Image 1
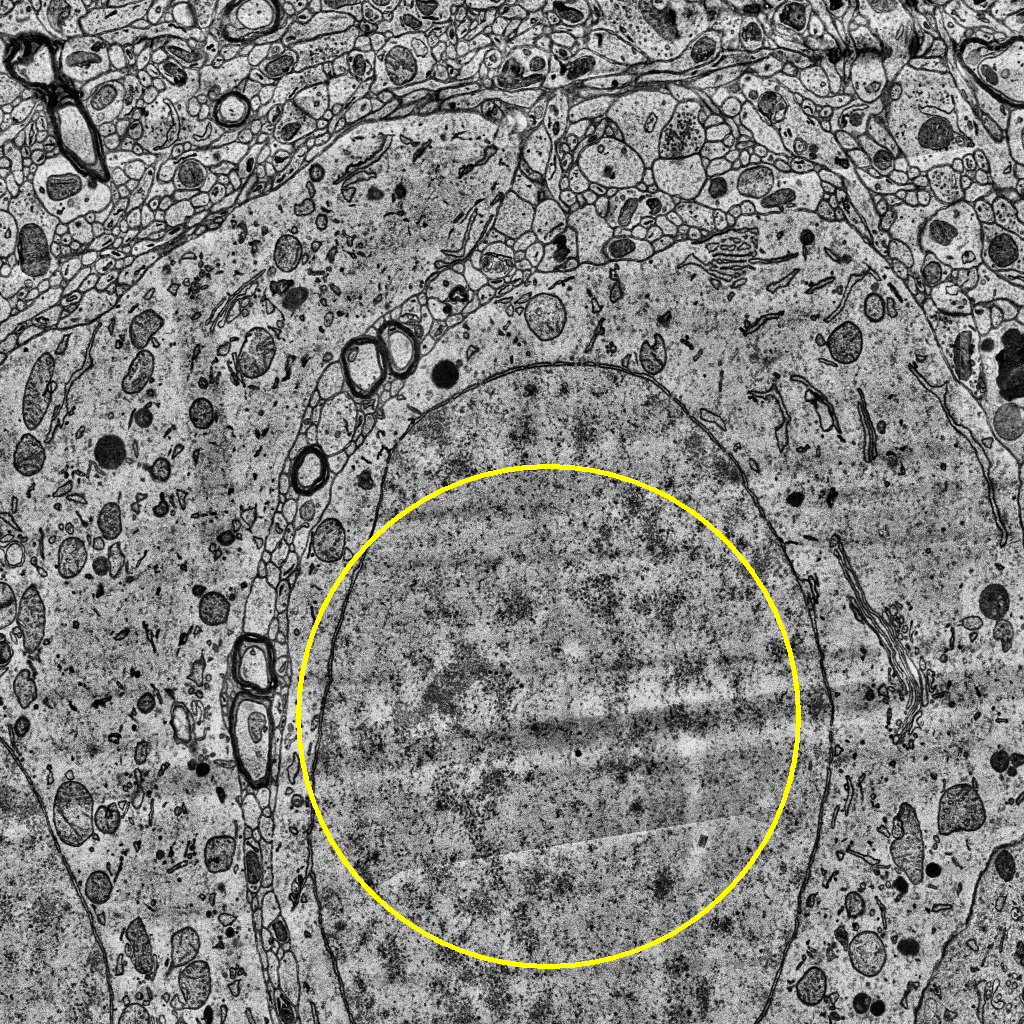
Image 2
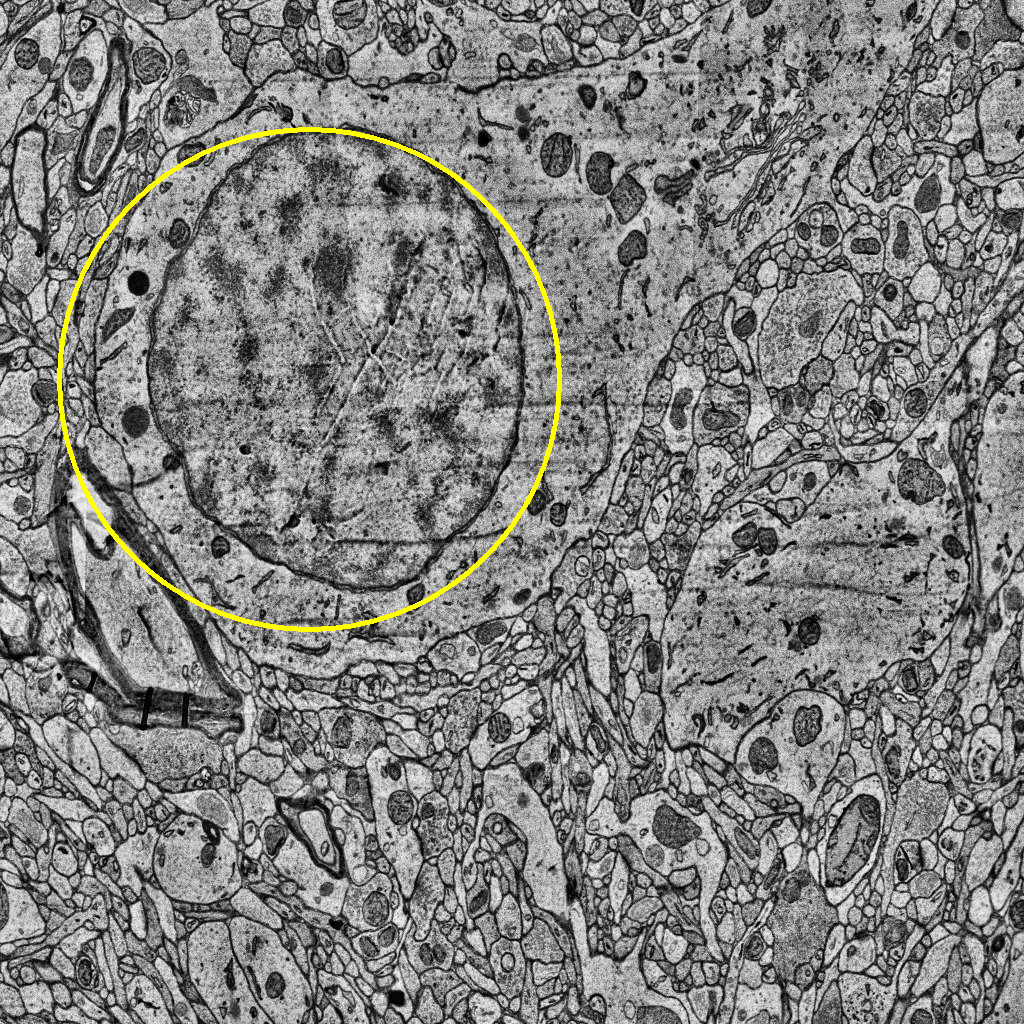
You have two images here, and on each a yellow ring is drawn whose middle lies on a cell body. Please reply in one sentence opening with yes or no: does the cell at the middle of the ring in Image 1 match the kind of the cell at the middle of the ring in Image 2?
Yes, the two images show cells of one kind at the centres of their rings.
